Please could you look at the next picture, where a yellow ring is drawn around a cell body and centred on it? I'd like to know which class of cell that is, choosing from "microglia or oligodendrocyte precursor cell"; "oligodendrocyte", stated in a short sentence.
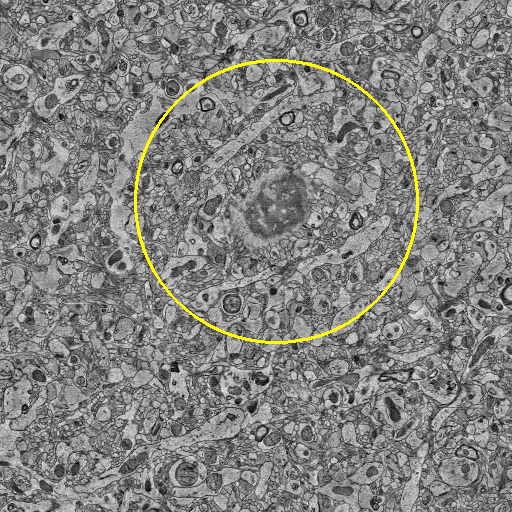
The ring's centre lies on an oligodendrocyte.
